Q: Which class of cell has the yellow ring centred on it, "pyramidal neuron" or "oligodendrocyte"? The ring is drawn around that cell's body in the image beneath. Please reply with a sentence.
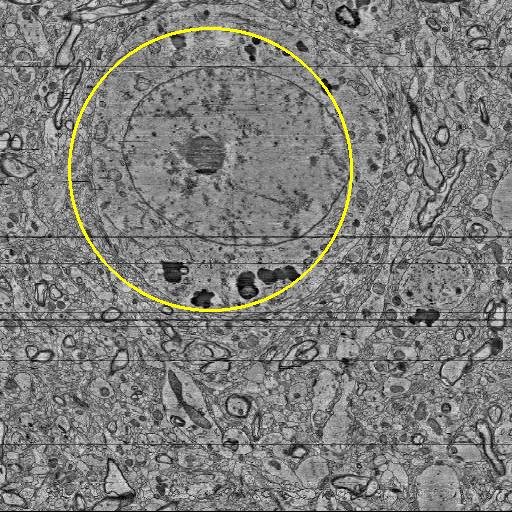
It is centred on a pyramidal neuron.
